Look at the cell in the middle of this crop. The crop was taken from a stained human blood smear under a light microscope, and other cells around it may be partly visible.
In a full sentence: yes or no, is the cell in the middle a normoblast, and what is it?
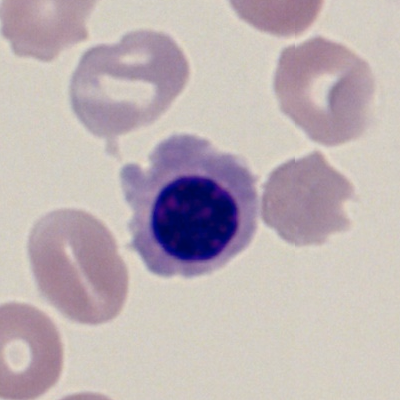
Yes, placed in the middle of the crop is a normoblast.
